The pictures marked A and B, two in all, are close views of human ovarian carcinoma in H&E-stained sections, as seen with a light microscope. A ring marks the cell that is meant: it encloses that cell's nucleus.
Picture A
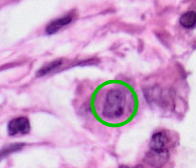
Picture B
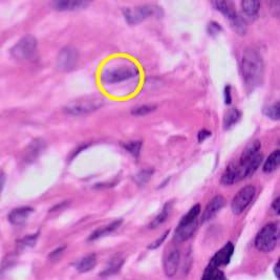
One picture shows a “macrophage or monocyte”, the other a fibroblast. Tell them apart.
A: macrophage or monocyte
B: fibroblast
